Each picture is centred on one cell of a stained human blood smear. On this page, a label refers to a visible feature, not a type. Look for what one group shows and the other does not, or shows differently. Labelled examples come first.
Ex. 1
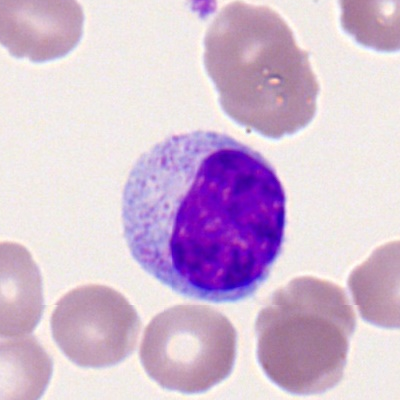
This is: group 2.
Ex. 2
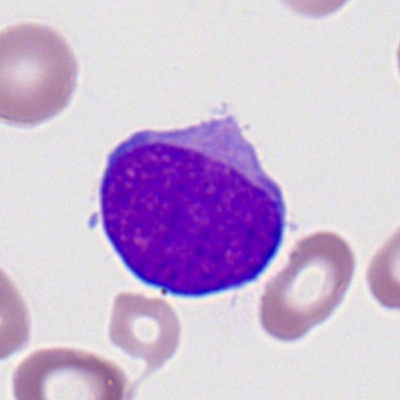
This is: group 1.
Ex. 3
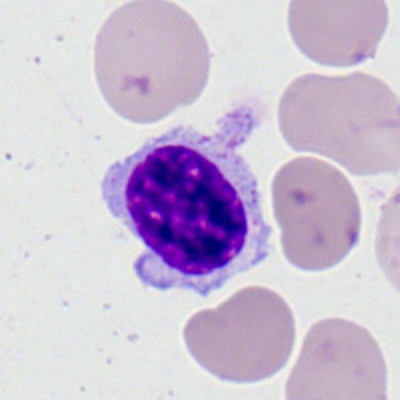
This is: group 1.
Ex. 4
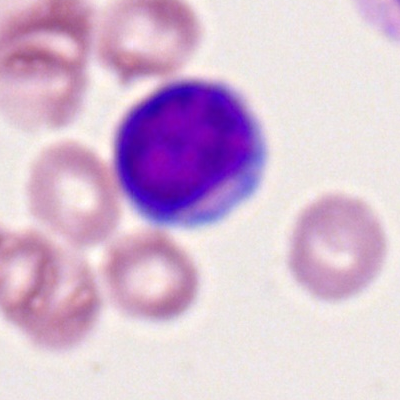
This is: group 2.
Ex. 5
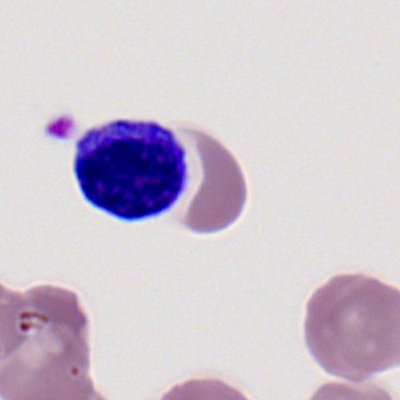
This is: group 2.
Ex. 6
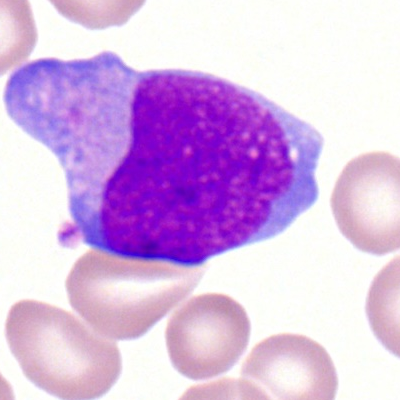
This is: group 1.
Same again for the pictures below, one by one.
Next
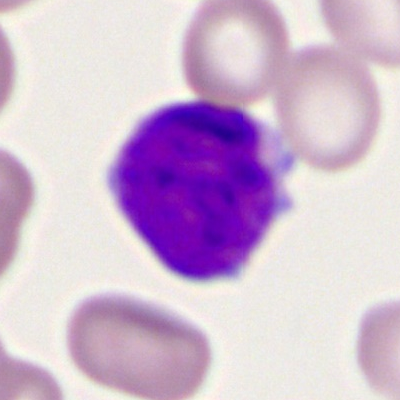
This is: group 1.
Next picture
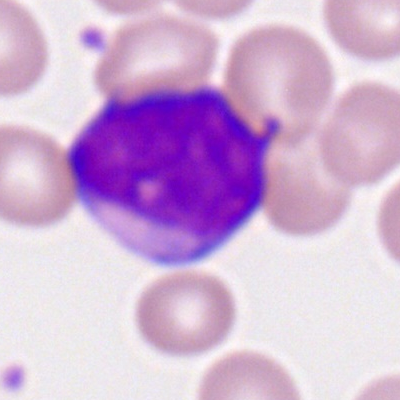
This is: group 1.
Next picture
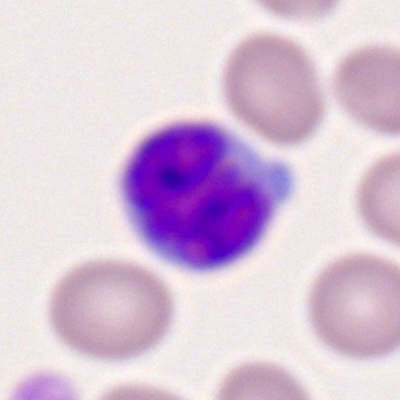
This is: group 1.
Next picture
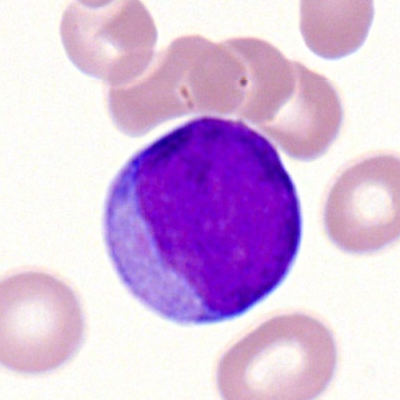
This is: group 2.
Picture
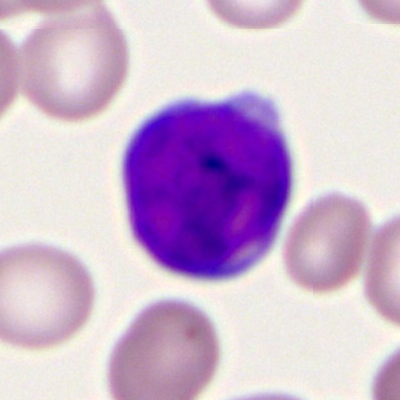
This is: group 1.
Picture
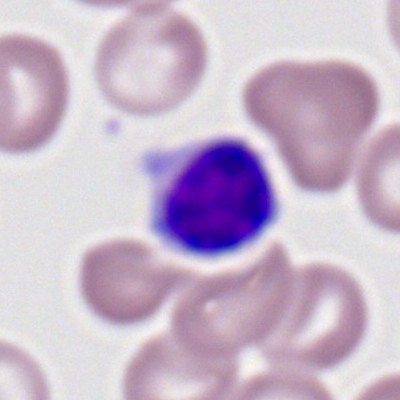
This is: group 1.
